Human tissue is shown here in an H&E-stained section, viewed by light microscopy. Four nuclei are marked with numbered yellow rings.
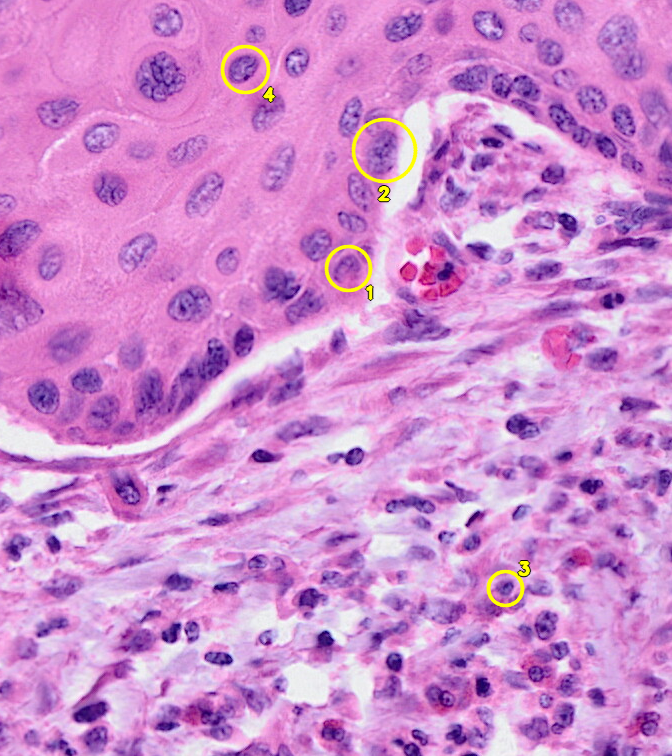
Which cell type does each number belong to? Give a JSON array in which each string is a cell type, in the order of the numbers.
["squamous carcinoma cell", "squamous carcinoma cell", "lymphocyte", "squamous carcinoma cell"]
